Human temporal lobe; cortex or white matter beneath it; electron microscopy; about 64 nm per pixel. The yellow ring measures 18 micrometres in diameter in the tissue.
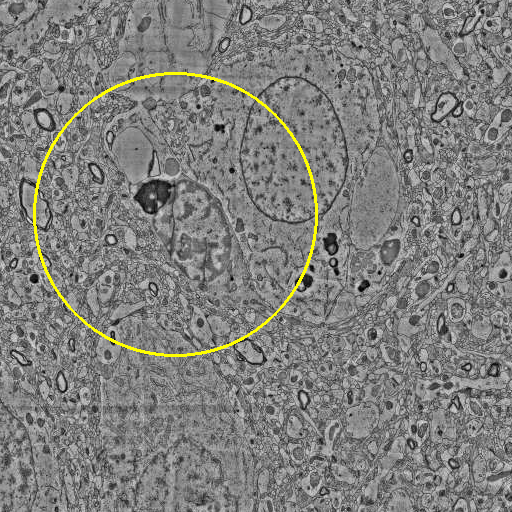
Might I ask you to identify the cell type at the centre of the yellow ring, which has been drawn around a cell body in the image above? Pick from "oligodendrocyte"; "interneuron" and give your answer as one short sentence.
The centre of the ring falls on an oligodendrocyte.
